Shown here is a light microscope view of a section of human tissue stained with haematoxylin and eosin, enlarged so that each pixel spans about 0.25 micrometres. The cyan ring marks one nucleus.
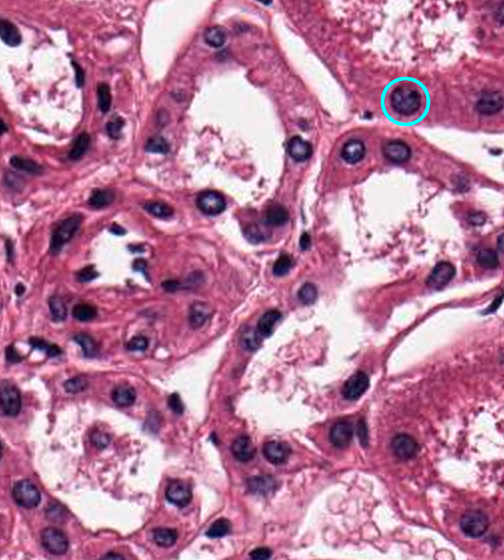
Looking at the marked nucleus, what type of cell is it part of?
proximal tubule cell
